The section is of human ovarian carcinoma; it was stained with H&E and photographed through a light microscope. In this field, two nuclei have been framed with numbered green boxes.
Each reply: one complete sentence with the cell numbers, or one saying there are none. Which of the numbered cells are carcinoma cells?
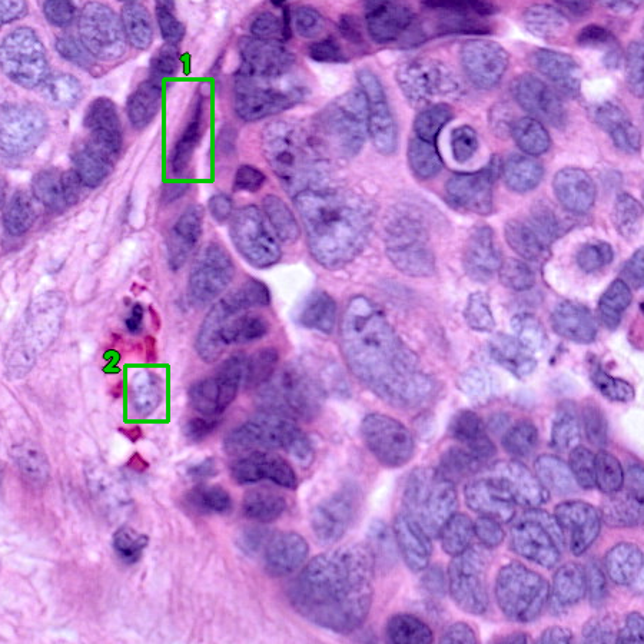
Only the cell marked 1 is a carcinoma cell.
